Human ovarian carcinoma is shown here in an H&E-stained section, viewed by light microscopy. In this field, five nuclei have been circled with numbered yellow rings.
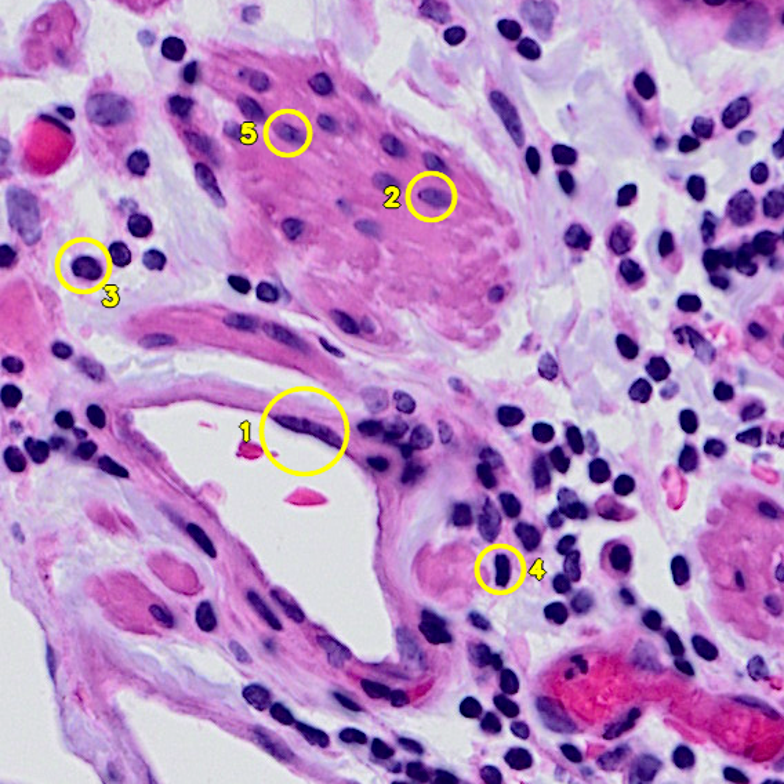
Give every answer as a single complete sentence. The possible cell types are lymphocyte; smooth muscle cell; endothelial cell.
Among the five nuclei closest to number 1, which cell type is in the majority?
Most of the five nuclei nearest to number 1 are those of lymphocytes.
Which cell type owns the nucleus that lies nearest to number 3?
The nearest nucleus to number 3 belongs to a lymphocyte.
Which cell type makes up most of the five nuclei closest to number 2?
The majority of the five nuclei closest to number 2 belong to smooth muscle cells.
